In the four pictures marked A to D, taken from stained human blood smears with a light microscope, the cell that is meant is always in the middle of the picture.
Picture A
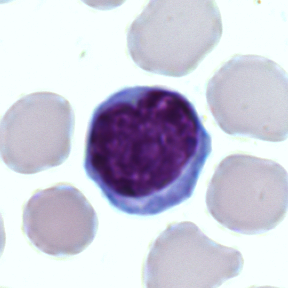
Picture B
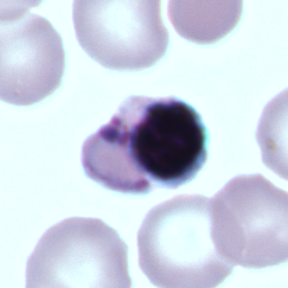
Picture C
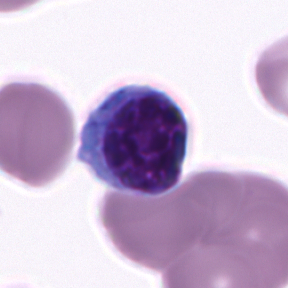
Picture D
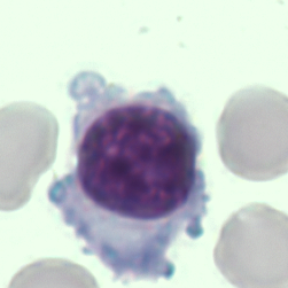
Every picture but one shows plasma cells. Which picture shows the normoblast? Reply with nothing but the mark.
B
